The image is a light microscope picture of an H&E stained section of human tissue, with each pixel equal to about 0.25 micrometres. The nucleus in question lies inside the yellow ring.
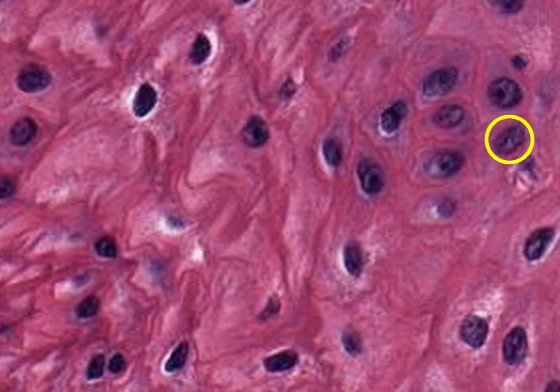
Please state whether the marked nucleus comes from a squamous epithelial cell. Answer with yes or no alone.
yes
